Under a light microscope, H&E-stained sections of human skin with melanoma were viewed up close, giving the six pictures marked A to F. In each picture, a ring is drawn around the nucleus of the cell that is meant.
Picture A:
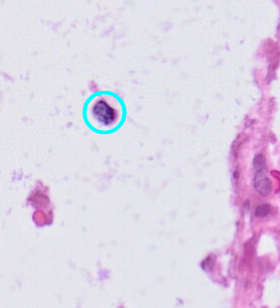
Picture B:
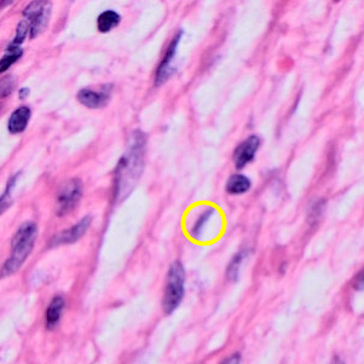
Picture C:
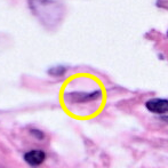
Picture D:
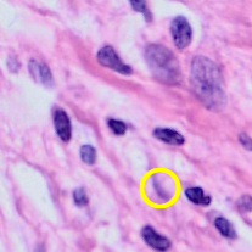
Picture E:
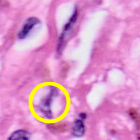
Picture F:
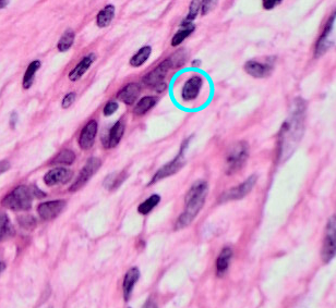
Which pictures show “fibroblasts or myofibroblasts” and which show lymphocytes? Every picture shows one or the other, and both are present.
A: lymphocyte
B: fibroblast or myofibroblast
C: fibroblast or myofibroblast
D: fibroblast or myofibroblast
E: fibroblast or myofibroblast
F: lymphocyte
